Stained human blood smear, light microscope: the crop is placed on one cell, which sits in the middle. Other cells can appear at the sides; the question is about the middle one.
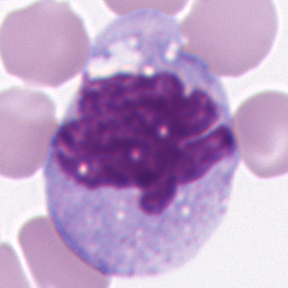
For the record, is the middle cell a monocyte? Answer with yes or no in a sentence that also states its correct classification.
Yes, what sits in the centre of the crop is a monocyte.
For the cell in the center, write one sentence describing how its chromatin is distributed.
The chromatin here is fine and lacks any coarse clumps.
